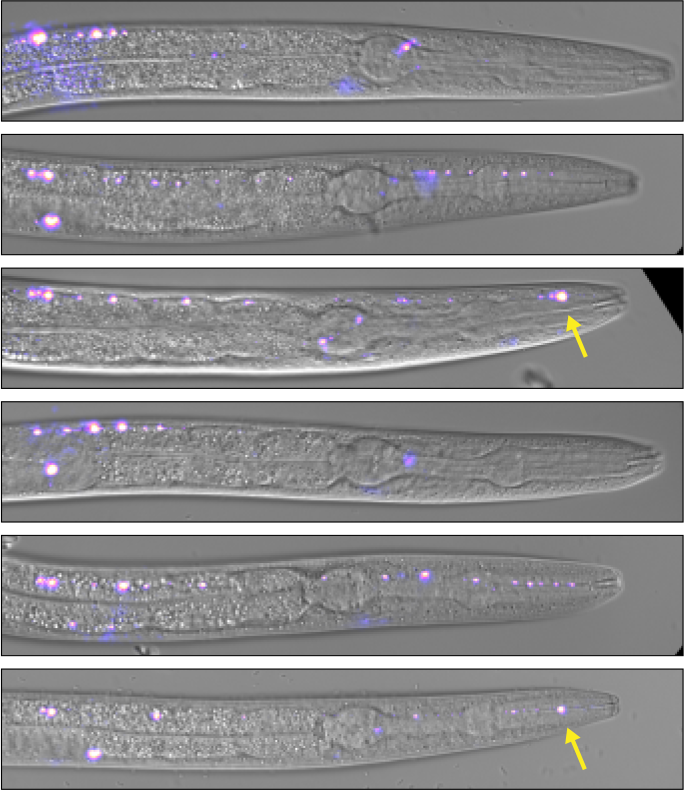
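Stacked differential interference contrast views of the anterior body of several animals, head tapering to the right, with granular body texture and a rounded bulb-like structure in the middle of each view. Magenta fluorescent puncta lie along a thin line running lengthwise toward the head. Larger, brighter puncta cluster at the left of each view, while in some animals a row of small puncta extends far toward the nose, ending in a bright spot marked by a yellow arrow.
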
